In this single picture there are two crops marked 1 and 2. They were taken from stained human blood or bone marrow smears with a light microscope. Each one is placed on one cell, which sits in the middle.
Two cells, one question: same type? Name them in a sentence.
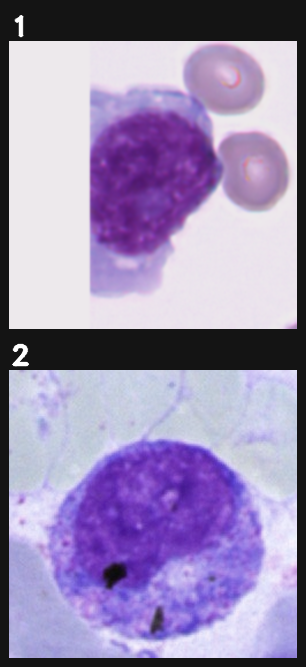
No, a plasma cell is depicted by crop 1, a promyelocyte by crop 2.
